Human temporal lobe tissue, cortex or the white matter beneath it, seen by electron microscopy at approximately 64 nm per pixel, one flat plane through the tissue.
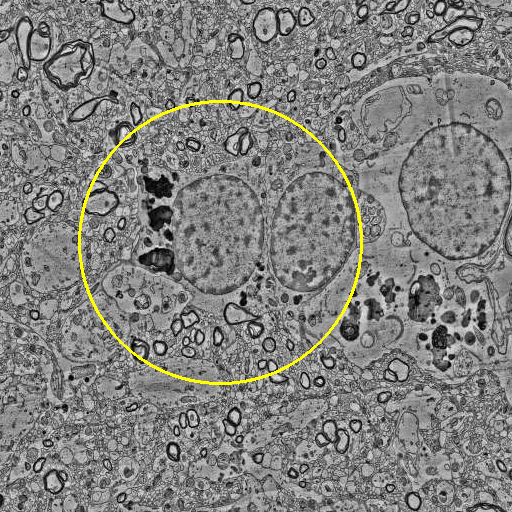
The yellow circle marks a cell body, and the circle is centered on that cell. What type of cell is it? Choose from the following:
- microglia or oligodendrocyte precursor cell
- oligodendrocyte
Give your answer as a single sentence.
This cell body belongs to an oligodendrocyte.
